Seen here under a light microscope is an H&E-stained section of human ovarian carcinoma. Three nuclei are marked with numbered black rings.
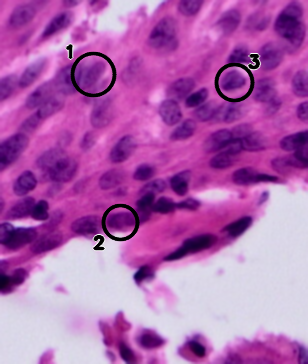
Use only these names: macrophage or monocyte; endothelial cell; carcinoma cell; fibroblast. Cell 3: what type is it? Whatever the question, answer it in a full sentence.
Cell 3 is classified as a macrophage or monocyte.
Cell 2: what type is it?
The cell identified by the number 2 is a carcinoma cell.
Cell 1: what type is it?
Here, the cell given the number 1 is a carcinoma cell.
